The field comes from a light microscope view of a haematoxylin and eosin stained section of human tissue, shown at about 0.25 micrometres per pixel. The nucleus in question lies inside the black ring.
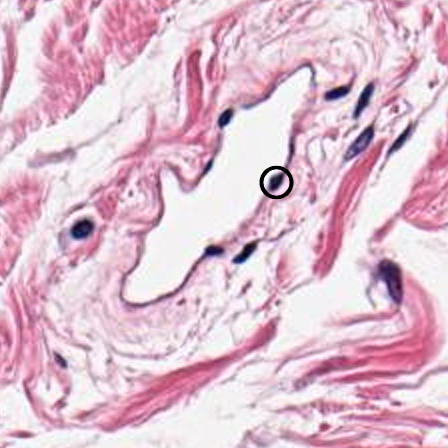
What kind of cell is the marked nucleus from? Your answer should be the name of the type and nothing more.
endothelial cell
